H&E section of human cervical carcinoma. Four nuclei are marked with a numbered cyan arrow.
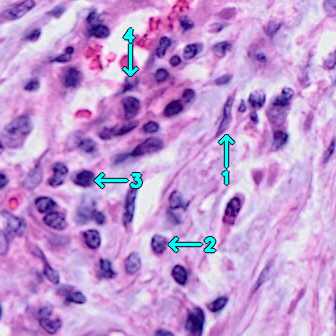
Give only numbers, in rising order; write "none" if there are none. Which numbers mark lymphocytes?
2, 3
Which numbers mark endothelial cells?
4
